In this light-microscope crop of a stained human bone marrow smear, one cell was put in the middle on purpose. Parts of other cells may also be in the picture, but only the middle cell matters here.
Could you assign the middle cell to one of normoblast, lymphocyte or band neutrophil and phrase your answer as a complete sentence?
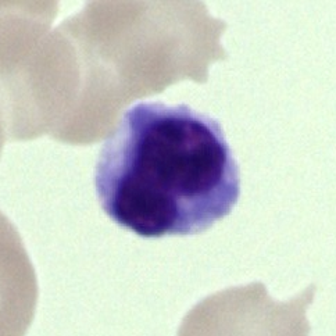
At the middle of the frame sits a normoblast.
